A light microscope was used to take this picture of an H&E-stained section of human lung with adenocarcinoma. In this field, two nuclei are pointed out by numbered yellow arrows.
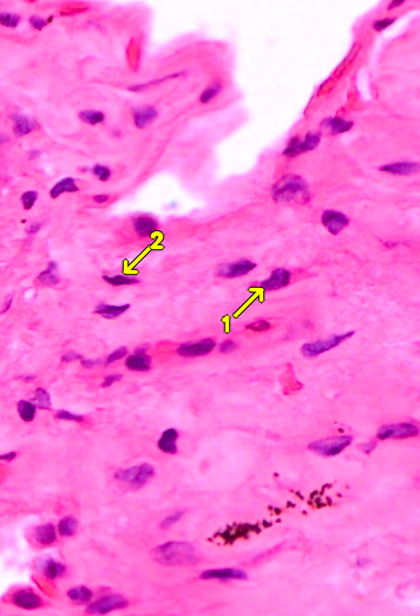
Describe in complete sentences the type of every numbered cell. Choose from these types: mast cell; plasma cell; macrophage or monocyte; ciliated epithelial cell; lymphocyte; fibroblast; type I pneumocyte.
Cell 1 is a plasma cell. Cell 2 is a fibroblast.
